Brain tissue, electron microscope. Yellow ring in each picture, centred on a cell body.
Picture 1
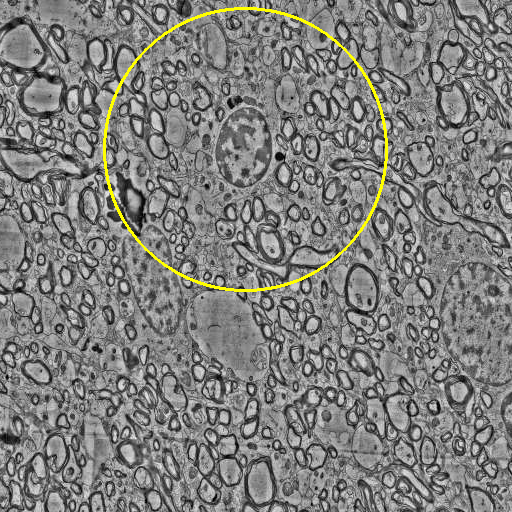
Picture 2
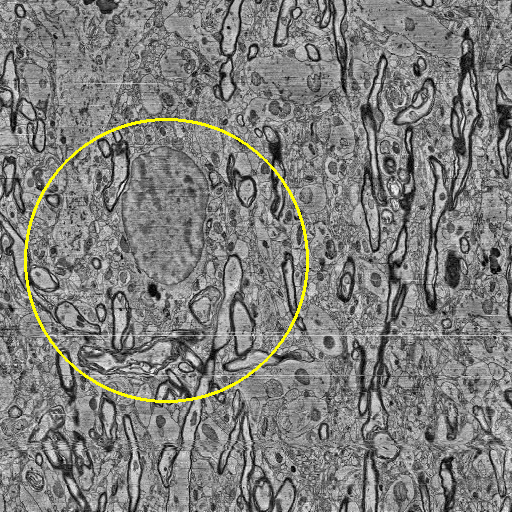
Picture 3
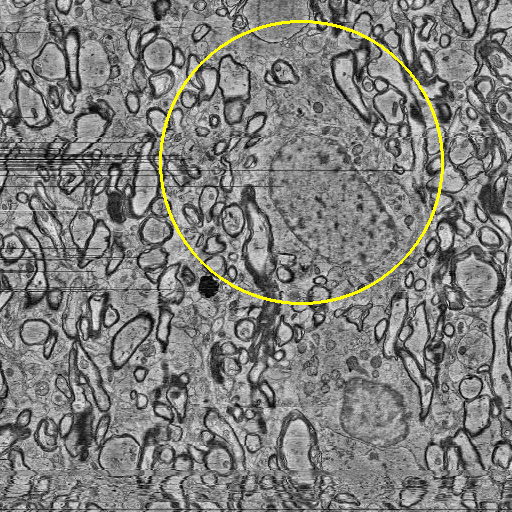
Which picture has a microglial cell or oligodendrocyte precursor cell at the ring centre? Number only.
1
